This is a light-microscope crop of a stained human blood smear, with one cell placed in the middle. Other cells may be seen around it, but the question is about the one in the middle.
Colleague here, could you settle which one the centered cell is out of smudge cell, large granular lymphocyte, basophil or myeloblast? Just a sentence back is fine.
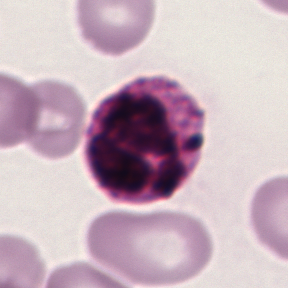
Classification of the middle cell gives a basophil.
